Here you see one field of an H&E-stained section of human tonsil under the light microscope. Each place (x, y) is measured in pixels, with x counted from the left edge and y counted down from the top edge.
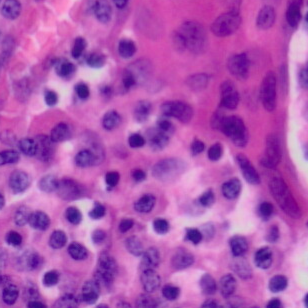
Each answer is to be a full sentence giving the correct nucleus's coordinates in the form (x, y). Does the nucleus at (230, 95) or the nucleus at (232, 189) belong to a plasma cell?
The nucleus whose cell is a plasma cell is the one at (232, 189).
